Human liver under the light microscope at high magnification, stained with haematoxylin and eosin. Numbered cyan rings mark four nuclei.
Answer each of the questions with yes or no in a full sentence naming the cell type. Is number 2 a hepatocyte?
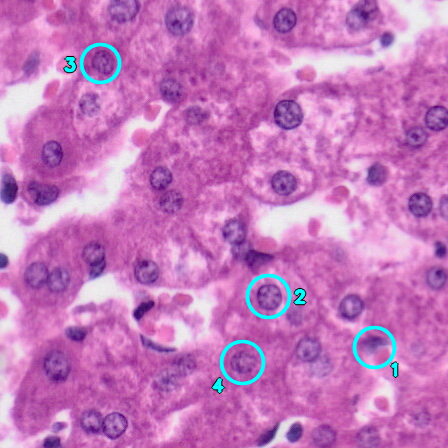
Yes, the one with the number 2 is a hepatocyte.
